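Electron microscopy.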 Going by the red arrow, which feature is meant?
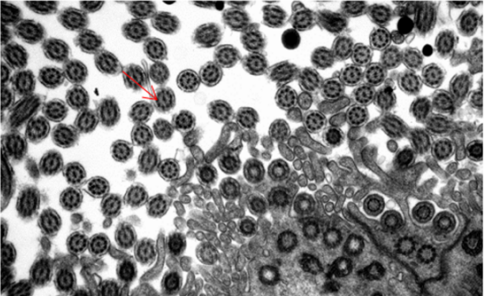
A: Ciliary 9 + 2 structure.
